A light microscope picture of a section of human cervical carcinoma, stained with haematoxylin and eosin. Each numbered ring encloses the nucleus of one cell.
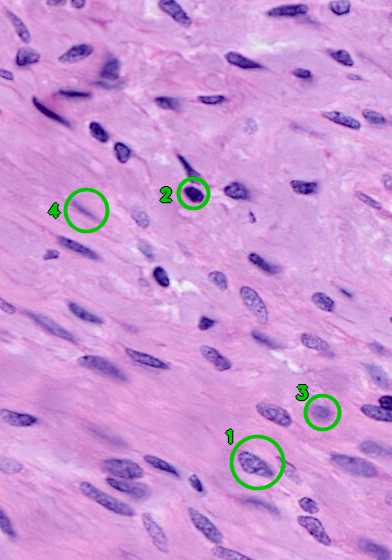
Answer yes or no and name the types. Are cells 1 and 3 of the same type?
Yes, the two numbered cells 1 and 3 are both fibroblasts.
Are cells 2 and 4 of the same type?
No, cell 2 is a lymphocyte and cell 4, for its part, is a fibroblast.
